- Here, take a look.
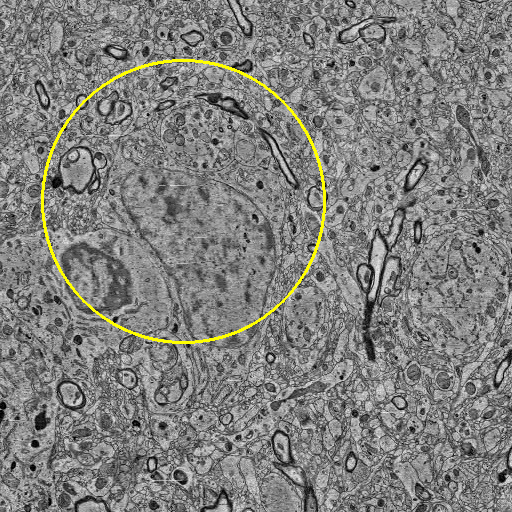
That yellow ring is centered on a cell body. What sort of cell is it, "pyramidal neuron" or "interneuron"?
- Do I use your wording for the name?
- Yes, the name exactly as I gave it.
interneuron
